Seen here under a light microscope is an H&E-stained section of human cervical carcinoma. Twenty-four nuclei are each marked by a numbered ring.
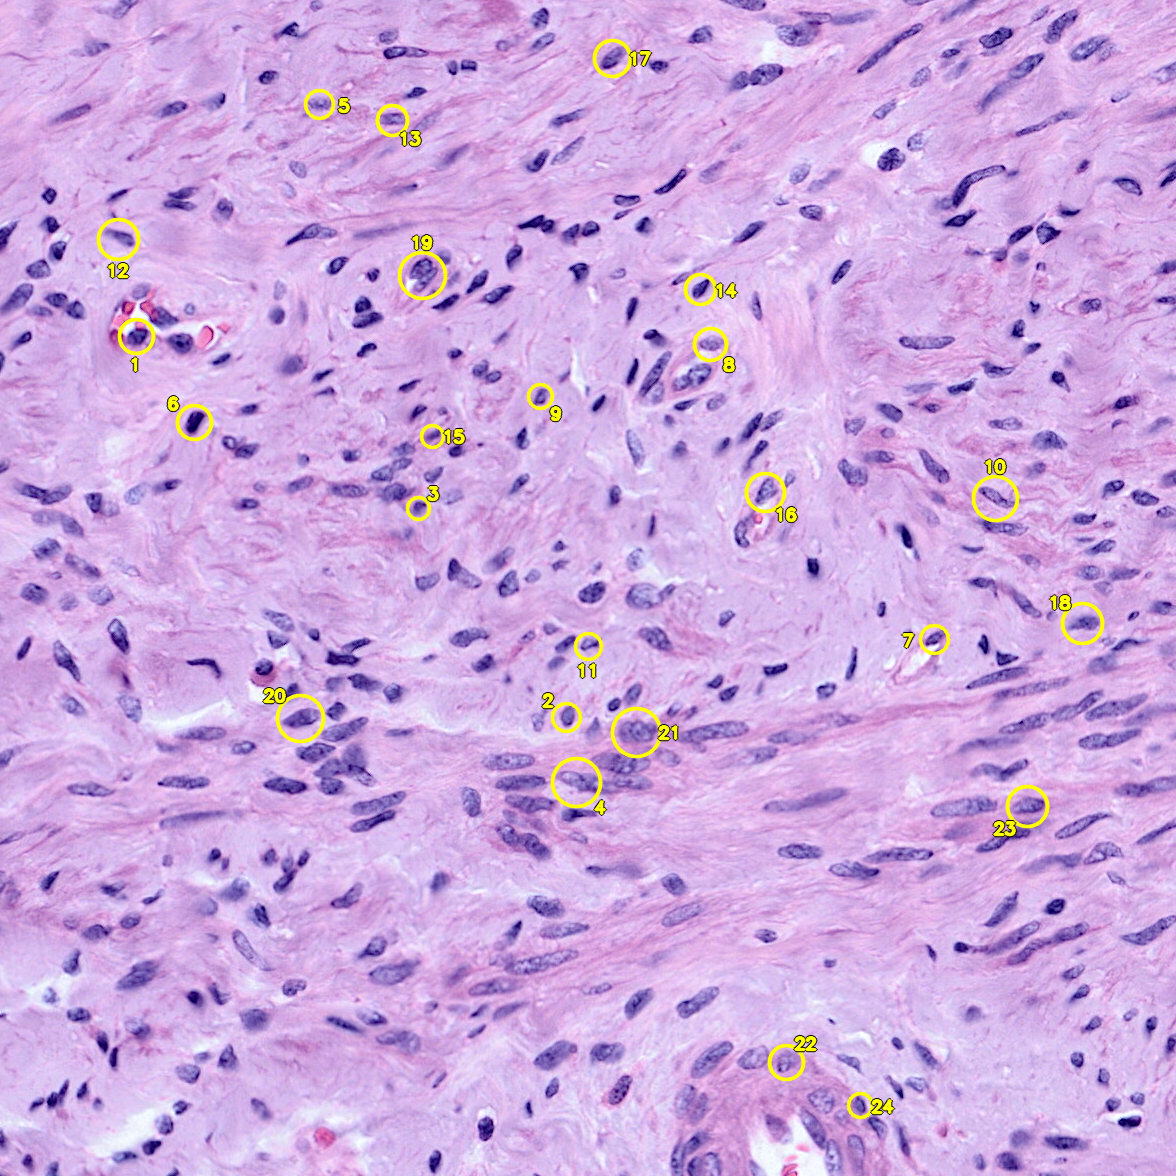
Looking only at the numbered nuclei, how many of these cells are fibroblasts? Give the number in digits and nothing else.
5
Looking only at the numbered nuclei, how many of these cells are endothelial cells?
5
